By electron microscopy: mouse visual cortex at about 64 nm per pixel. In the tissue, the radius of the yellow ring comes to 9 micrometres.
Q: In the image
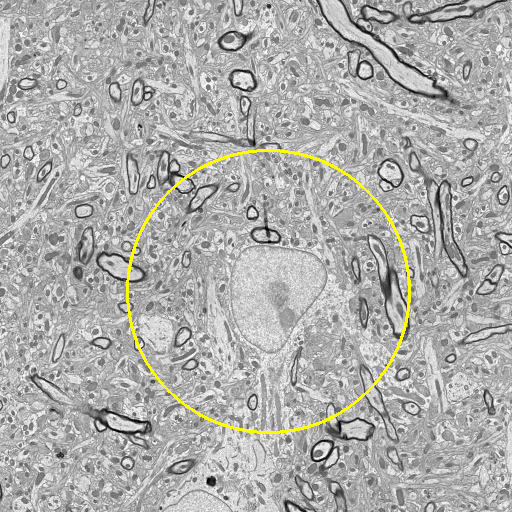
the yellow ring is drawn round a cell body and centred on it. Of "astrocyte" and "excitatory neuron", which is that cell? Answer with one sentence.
The cell centred in the ring is an astrocyte.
